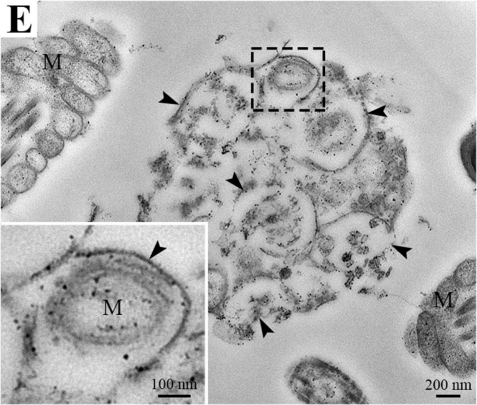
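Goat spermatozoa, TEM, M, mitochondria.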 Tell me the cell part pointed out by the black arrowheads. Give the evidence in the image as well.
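Double-membrane autophagosome. Large double-membraned profiles enclose cytoplasmic contents. The inset shows a double membrane wrapped around an enclosed organelle.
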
